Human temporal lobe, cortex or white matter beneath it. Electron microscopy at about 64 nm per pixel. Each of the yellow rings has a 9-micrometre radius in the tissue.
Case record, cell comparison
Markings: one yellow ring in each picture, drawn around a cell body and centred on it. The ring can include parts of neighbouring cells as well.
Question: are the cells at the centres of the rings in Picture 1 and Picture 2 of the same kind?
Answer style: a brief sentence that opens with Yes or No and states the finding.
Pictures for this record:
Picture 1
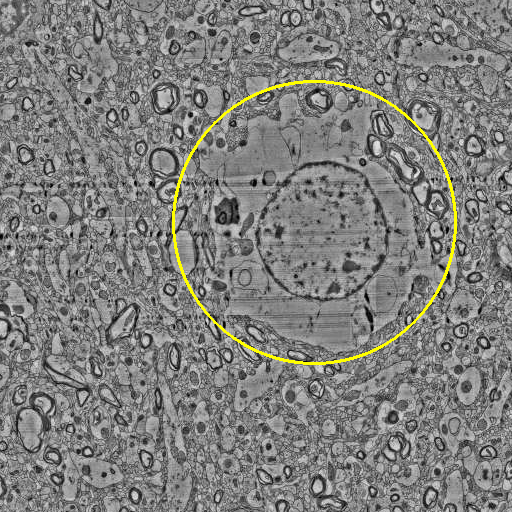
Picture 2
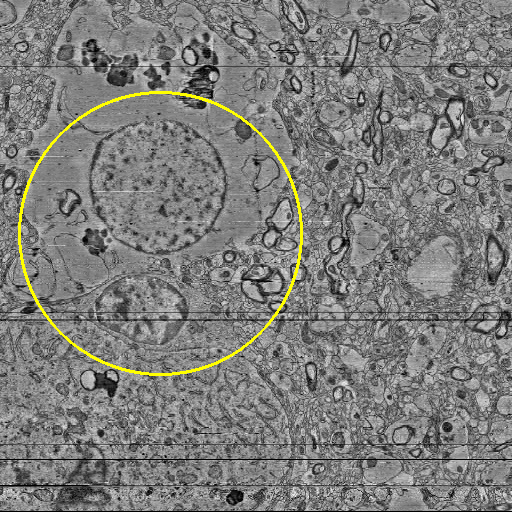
Yes, the cells in Picture 1 and Picture 2 are of the same kind.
